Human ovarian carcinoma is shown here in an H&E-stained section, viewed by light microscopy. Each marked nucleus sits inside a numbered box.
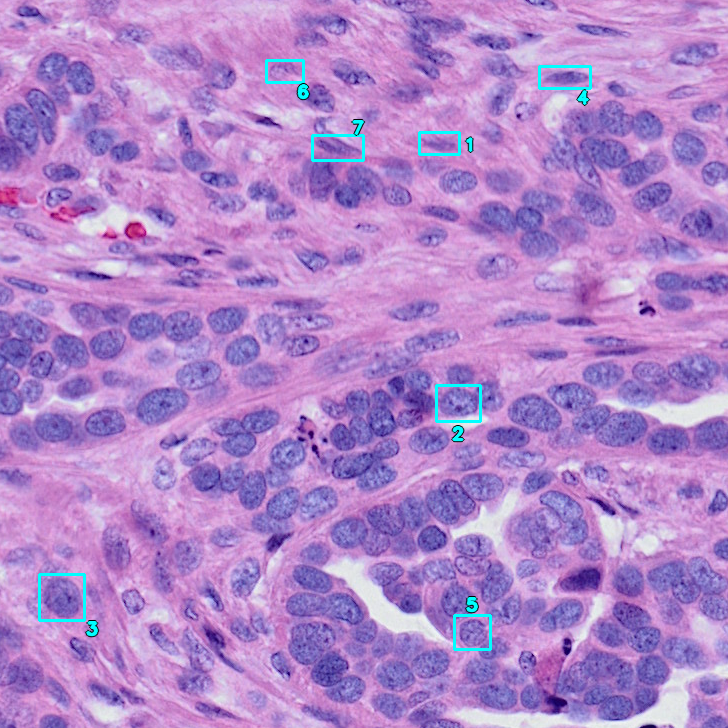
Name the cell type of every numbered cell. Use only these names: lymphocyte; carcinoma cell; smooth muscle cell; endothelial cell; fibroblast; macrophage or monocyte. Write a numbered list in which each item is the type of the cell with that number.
1. fibroblast
2. carcinoma cell
3. carcinoma cell
4. fibroblast
5. carcinoma cell
6. fibroblast
7. fibroblast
